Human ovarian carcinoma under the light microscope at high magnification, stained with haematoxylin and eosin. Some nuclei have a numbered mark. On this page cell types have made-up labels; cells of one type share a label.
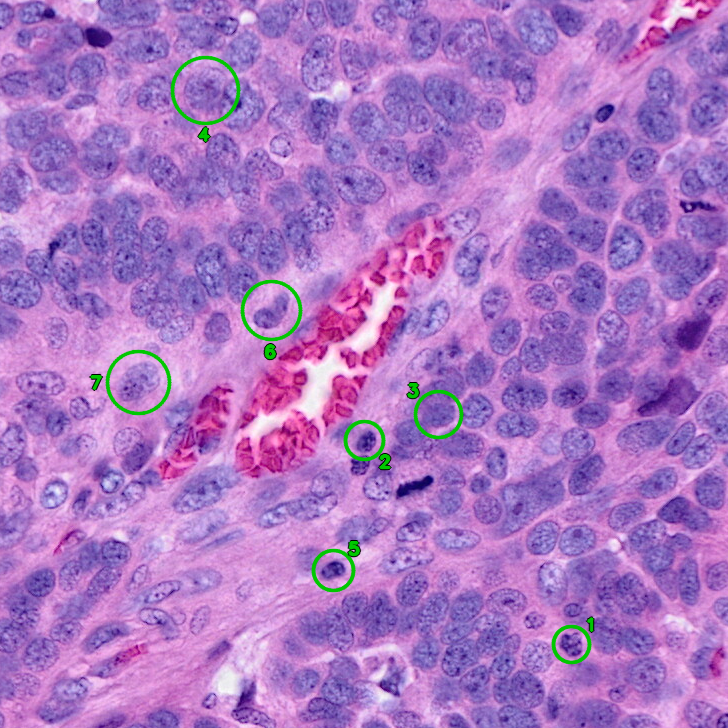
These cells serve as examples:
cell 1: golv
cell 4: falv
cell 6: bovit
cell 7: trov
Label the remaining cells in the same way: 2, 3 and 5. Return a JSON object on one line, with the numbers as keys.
{"2": "golv", "3": "falv", "5": "golv"}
